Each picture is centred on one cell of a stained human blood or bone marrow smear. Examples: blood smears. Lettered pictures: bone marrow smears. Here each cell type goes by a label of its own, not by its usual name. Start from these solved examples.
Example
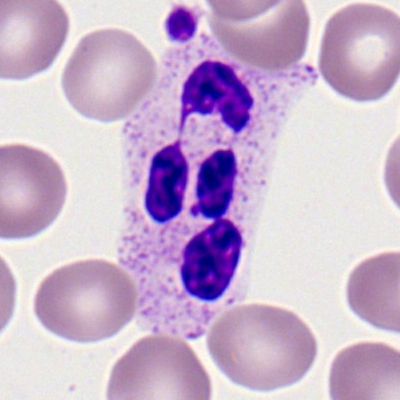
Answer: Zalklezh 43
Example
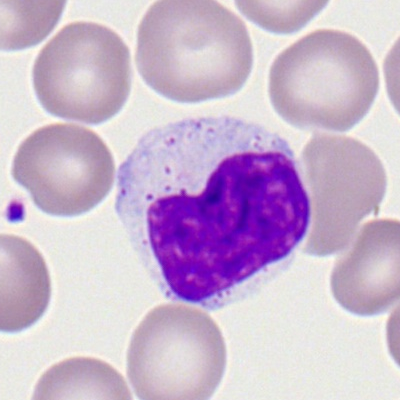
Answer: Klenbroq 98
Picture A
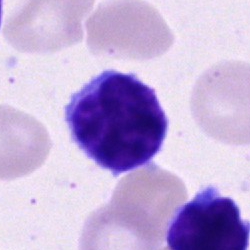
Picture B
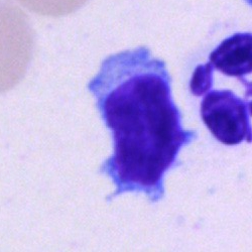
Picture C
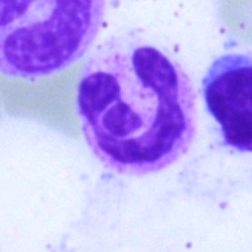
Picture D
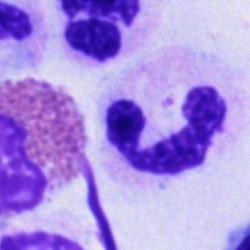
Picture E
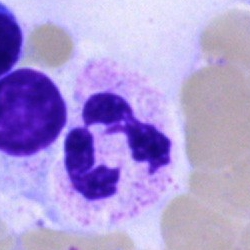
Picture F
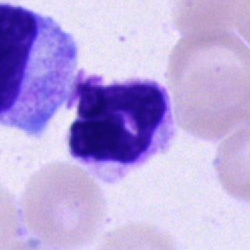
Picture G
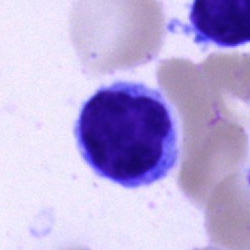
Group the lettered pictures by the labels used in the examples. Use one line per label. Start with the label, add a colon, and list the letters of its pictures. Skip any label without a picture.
Zalklezh 43: C, D, E, F
Klenbroq 98: A, B, G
